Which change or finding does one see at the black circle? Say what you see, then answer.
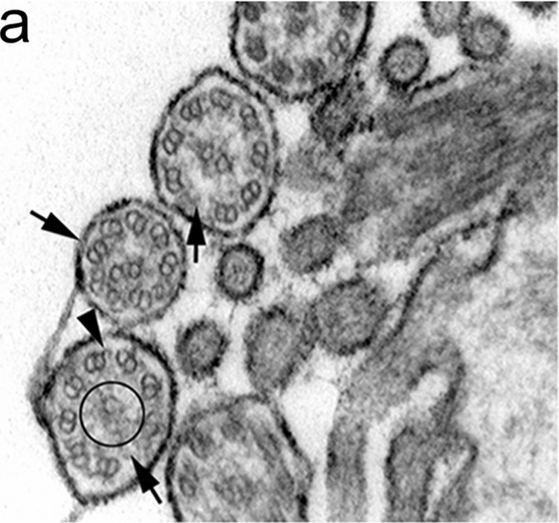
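The circle lies in the centre of a ciliary cross-section ringed by paired microtubule profiles. Inside the circle no clear pair of round microtubule profiles is seen, only hazy material.
Answer: absence of a central microtubule pair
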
